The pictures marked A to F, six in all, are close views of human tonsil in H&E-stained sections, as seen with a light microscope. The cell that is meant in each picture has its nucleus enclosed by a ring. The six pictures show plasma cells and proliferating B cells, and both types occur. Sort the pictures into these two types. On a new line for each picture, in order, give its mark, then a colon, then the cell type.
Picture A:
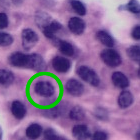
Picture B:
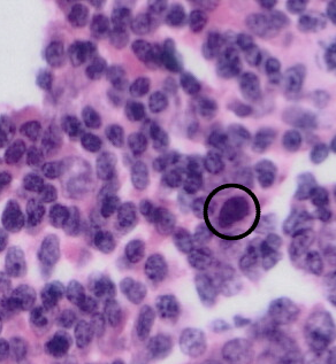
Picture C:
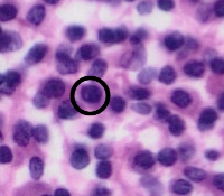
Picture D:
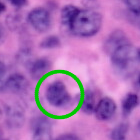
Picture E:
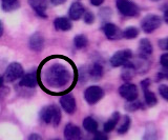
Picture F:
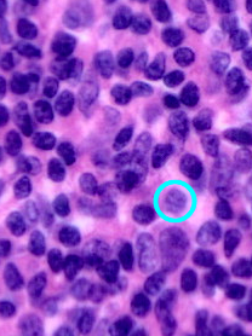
A: plasma cell
B: proliferating B cell
C: plasma cell
D: proliferating B cell
E: proliferating B cell
F: proliferating B cell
